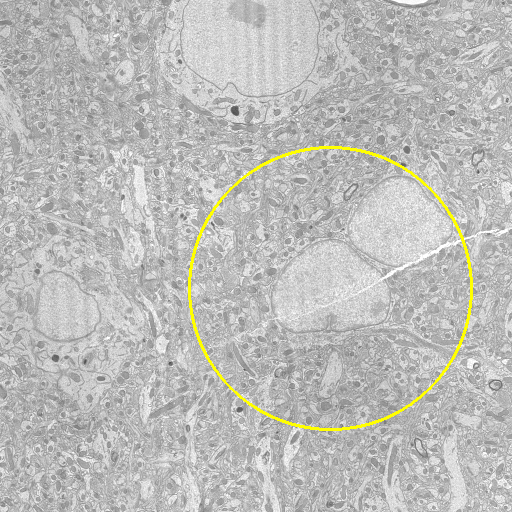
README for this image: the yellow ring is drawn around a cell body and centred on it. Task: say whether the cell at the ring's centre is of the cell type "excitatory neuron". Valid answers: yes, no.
no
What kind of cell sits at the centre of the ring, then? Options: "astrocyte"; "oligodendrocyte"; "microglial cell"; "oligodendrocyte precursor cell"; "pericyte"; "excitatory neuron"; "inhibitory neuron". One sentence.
That cell in the ring is an astrocyte instead.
